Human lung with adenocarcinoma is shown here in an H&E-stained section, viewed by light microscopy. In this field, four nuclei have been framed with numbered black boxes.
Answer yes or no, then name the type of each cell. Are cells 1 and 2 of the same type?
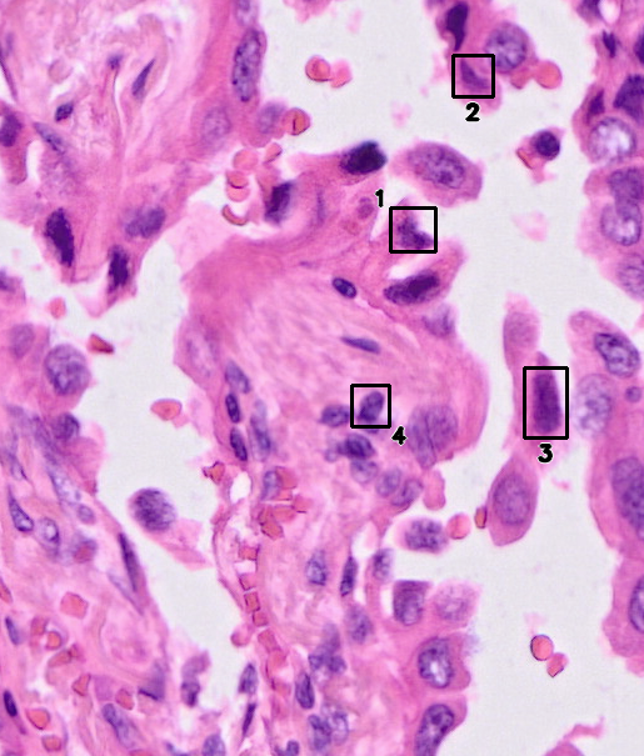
Yes, both cell 1 and cell 2 count among the carcinoma cells.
